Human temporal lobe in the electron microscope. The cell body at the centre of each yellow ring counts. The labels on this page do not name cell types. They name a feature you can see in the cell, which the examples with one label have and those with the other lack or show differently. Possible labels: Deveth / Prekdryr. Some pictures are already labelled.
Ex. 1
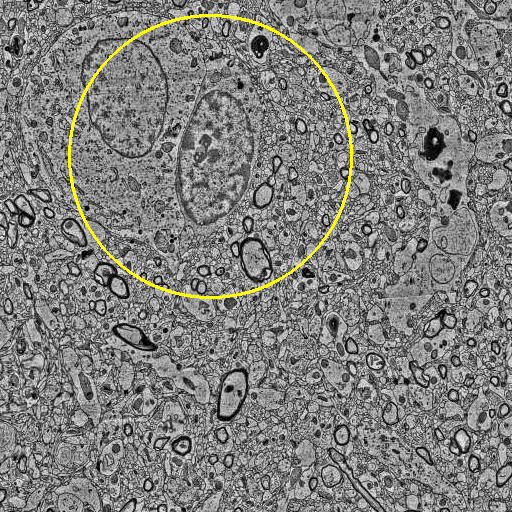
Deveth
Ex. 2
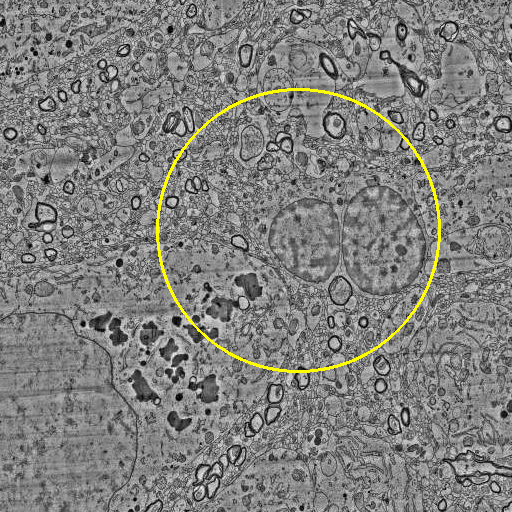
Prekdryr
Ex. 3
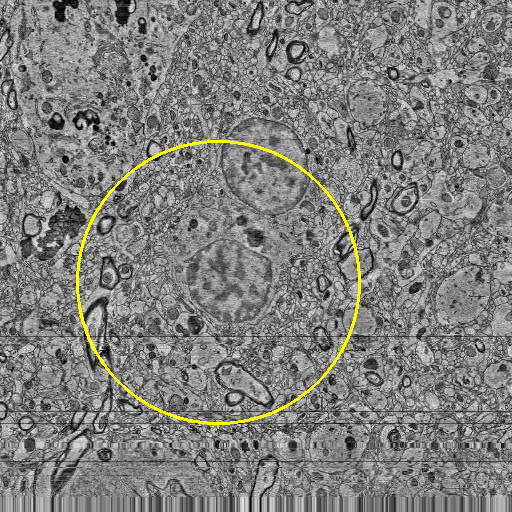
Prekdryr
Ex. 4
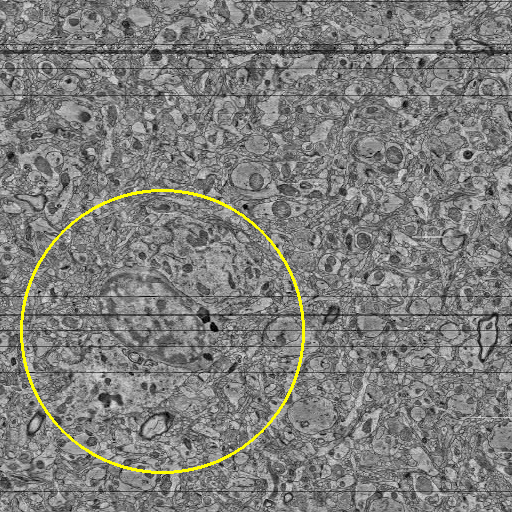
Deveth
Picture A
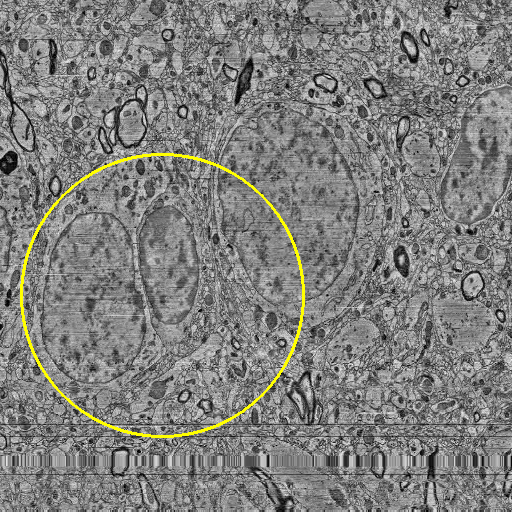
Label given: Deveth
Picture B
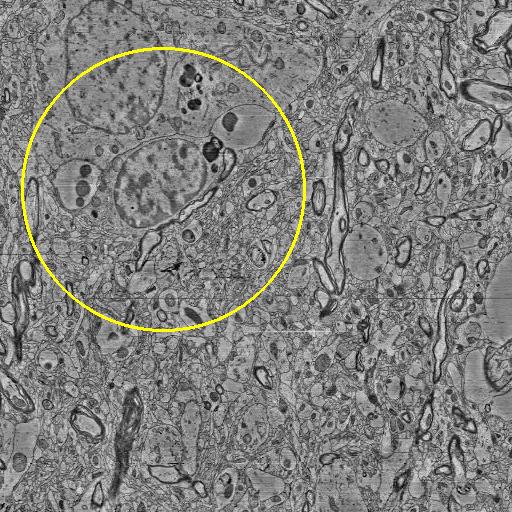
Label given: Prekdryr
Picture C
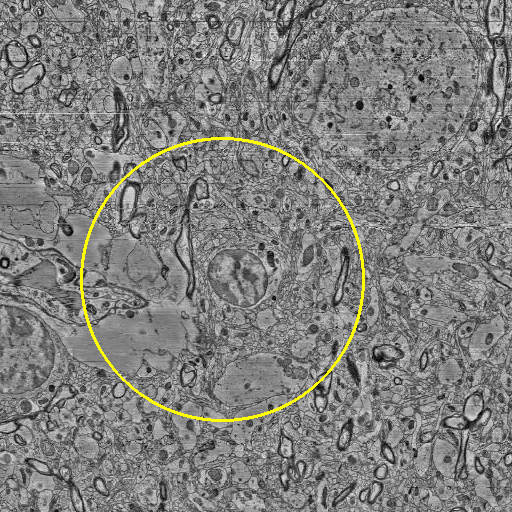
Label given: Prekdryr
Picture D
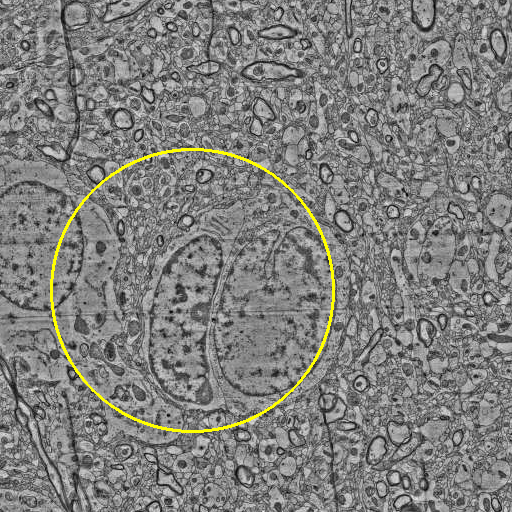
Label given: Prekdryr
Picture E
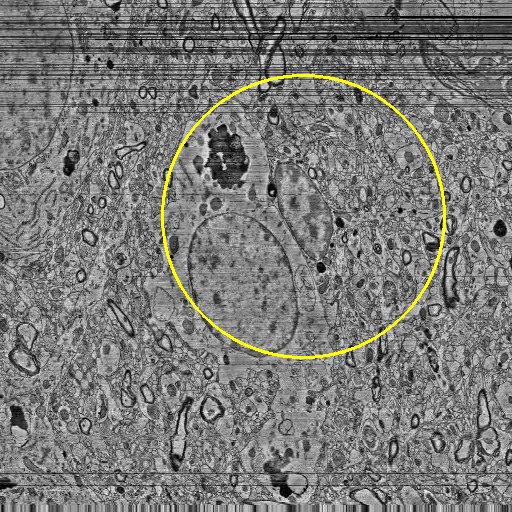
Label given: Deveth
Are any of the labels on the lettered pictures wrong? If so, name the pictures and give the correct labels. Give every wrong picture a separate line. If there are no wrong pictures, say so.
D: Deveth, not Prekdryr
